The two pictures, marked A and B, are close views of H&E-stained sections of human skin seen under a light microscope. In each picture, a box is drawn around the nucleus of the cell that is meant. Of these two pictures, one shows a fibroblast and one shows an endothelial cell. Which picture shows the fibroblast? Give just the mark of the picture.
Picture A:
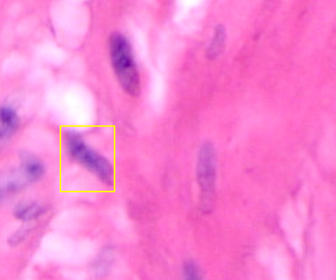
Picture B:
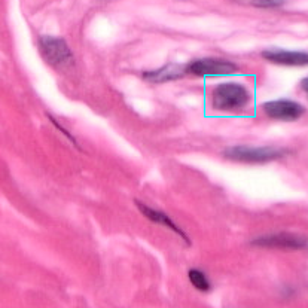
A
